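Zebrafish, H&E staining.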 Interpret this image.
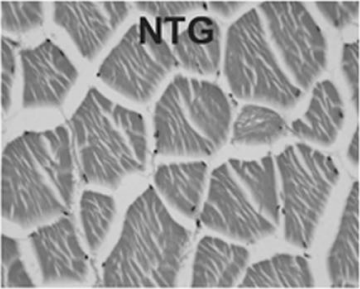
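This is body muscle cut across, made of large polygonal muscle fibres packed closely together with thin pale gaps between them. Small flattened nuclei sit at the fibre edges, and the inside of each fibre has a streaky fibrillar texture.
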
